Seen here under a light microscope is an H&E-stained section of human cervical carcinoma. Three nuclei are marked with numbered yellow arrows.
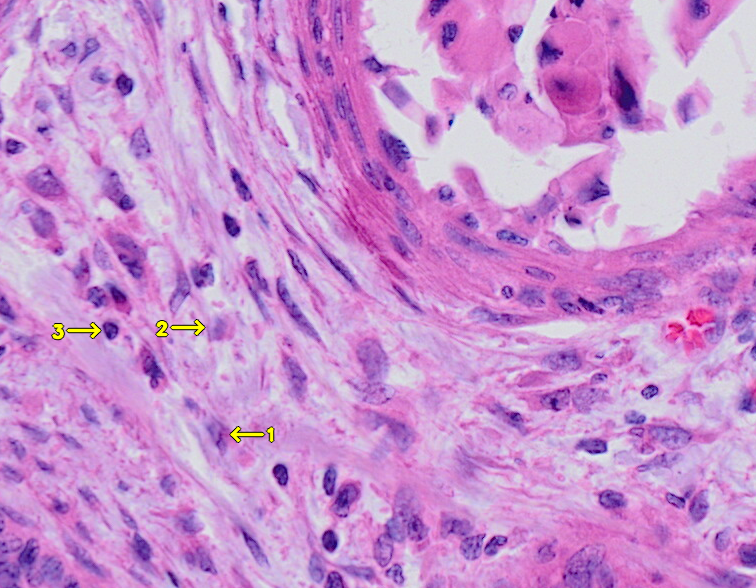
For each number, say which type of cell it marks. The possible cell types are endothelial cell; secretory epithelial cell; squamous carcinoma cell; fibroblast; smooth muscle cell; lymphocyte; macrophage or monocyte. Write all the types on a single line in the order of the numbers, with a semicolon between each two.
fibroblast; fibroblast; lymphocyte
